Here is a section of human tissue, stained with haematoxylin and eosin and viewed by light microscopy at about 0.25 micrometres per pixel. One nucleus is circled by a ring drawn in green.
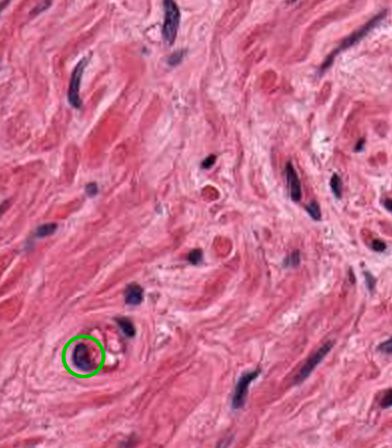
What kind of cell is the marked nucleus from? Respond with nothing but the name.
endothelial cell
